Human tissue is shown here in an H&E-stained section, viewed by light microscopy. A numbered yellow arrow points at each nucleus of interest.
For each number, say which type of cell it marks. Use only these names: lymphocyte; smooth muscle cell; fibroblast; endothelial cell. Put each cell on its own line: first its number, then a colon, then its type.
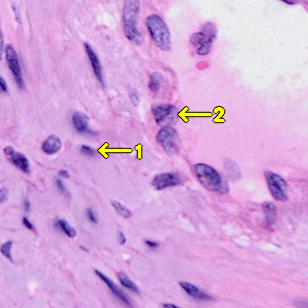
1: fibroblast
2: endothelial cell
